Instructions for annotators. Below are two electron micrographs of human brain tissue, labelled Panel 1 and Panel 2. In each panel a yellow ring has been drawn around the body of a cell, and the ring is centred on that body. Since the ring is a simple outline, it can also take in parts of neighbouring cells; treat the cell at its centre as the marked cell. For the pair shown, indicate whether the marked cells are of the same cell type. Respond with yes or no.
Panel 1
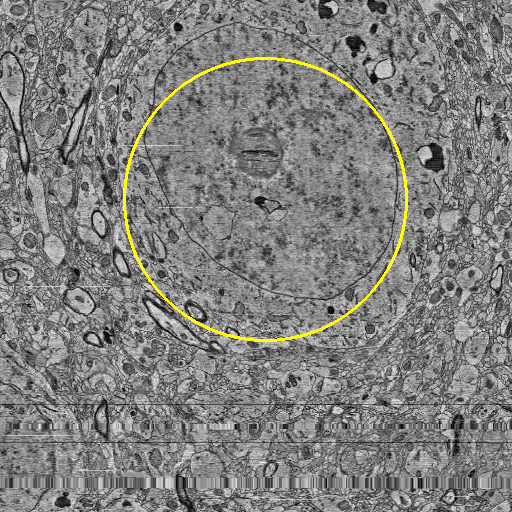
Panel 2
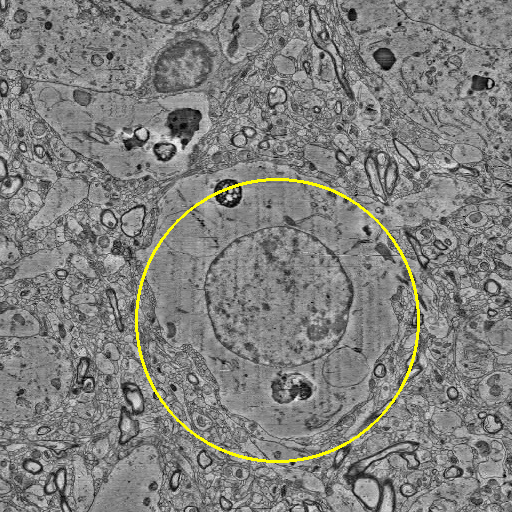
no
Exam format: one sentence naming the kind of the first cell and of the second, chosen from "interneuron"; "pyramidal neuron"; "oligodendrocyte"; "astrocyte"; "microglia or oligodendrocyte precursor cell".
The first picture's cell is a pyramidal neuron, and the second picture's cell is an astrocyte.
